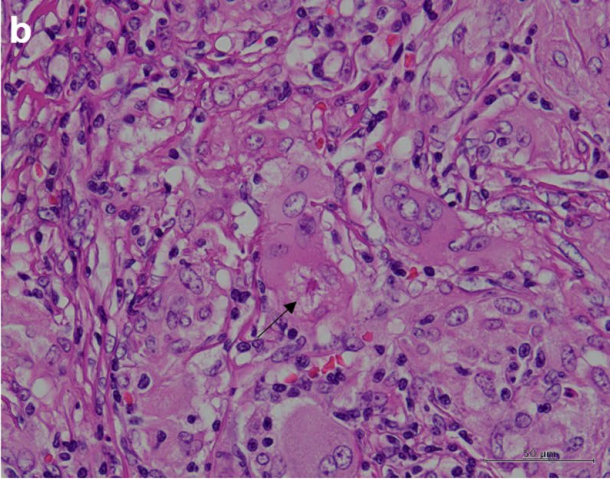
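Granulomatous tissue with large multinucleated giant cells having abundant pink cytoplasm and several oval nuclei, lying among epithelioid cells with pale vesicular nuclei. One giant cell contains a small star-shaped pink inclusion, an asteroid body. Loose fibrous stroma with scattered small lymphocytes and red blood cells lies between the cells.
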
